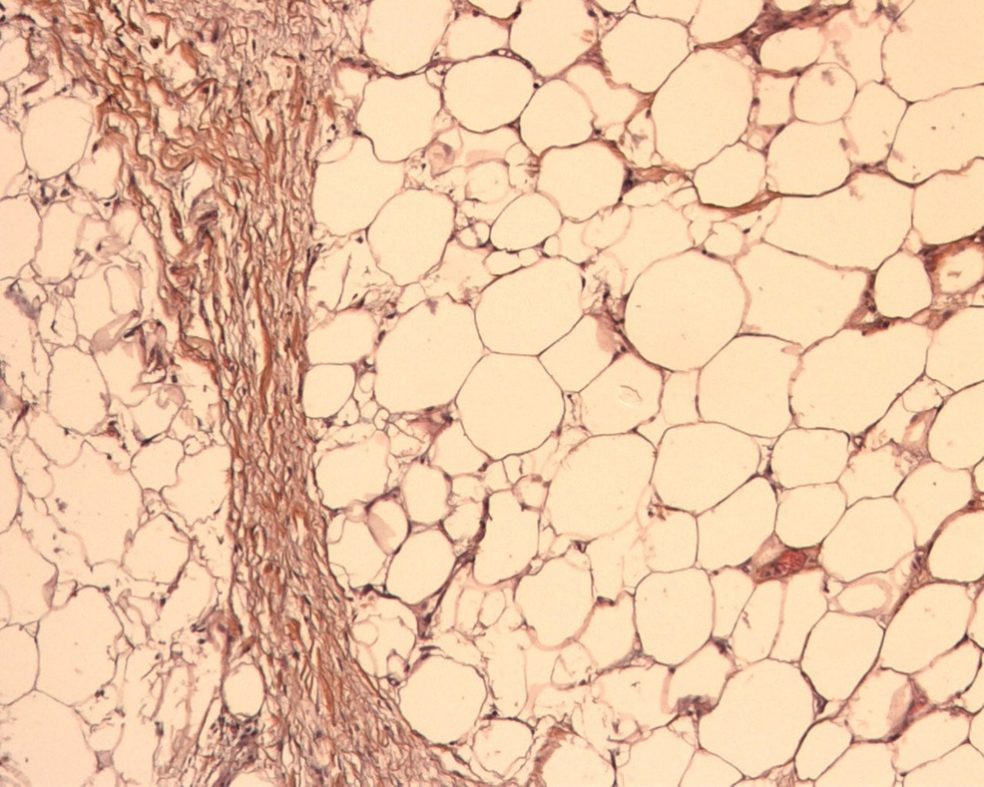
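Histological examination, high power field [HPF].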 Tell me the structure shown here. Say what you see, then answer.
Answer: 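A broad band of wavy brownish-pink fibrous tissue runs vertically through the left part of the field. Fat spaces lie on both sides of the band. The answer: bands of fibrotic stroma.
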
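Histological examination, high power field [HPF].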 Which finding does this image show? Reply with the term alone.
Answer: Striking variation in adipocytic size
